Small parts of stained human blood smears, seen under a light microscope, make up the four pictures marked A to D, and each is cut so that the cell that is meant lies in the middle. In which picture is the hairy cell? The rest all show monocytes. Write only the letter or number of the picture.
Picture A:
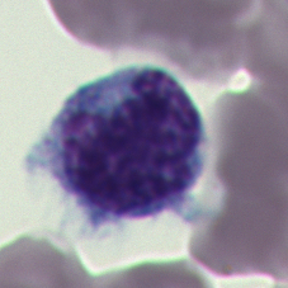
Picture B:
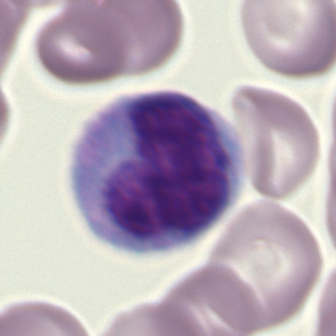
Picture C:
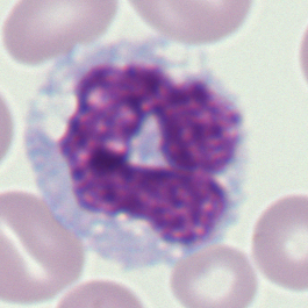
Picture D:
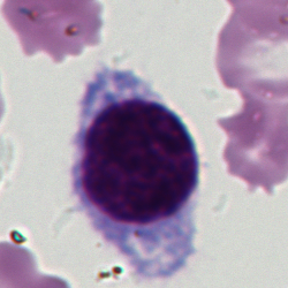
D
